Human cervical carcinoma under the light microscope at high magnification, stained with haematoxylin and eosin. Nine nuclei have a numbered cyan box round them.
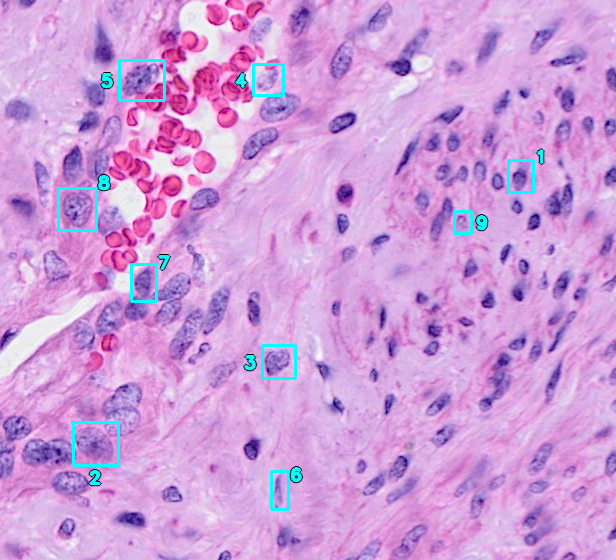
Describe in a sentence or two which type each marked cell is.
Cell 1 is a smooth muscle cell, cell 2 is an endothelial cell, cell 3 is a fibroblast, cell 4 is an endothelial cell, cell 5 is an endothelial cell, cell 6 is a fibroblast, cell 7 is an endothelial cell, cell 8 is an endothelial cell and cell 9 is a smooth muscle cell.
